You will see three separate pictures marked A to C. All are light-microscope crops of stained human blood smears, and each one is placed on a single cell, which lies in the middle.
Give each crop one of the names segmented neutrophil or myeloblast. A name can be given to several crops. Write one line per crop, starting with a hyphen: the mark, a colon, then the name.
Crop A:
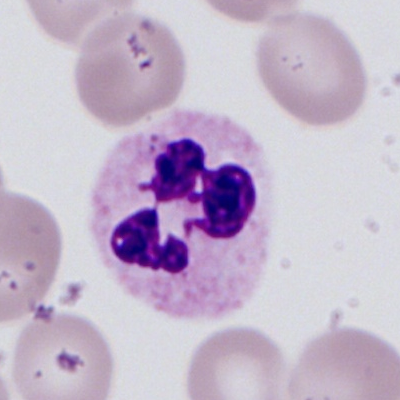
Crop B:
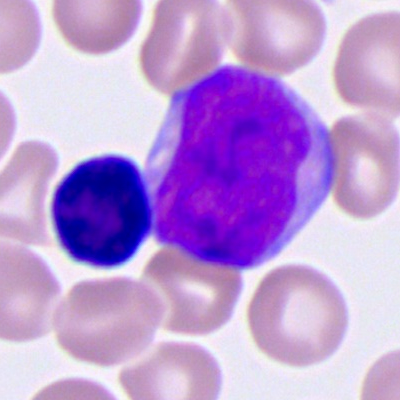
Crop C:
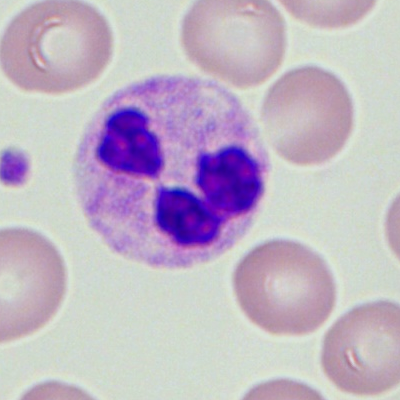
- A: segmented neutrophil
- B: myeloblast
- C: segmented neutrophil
